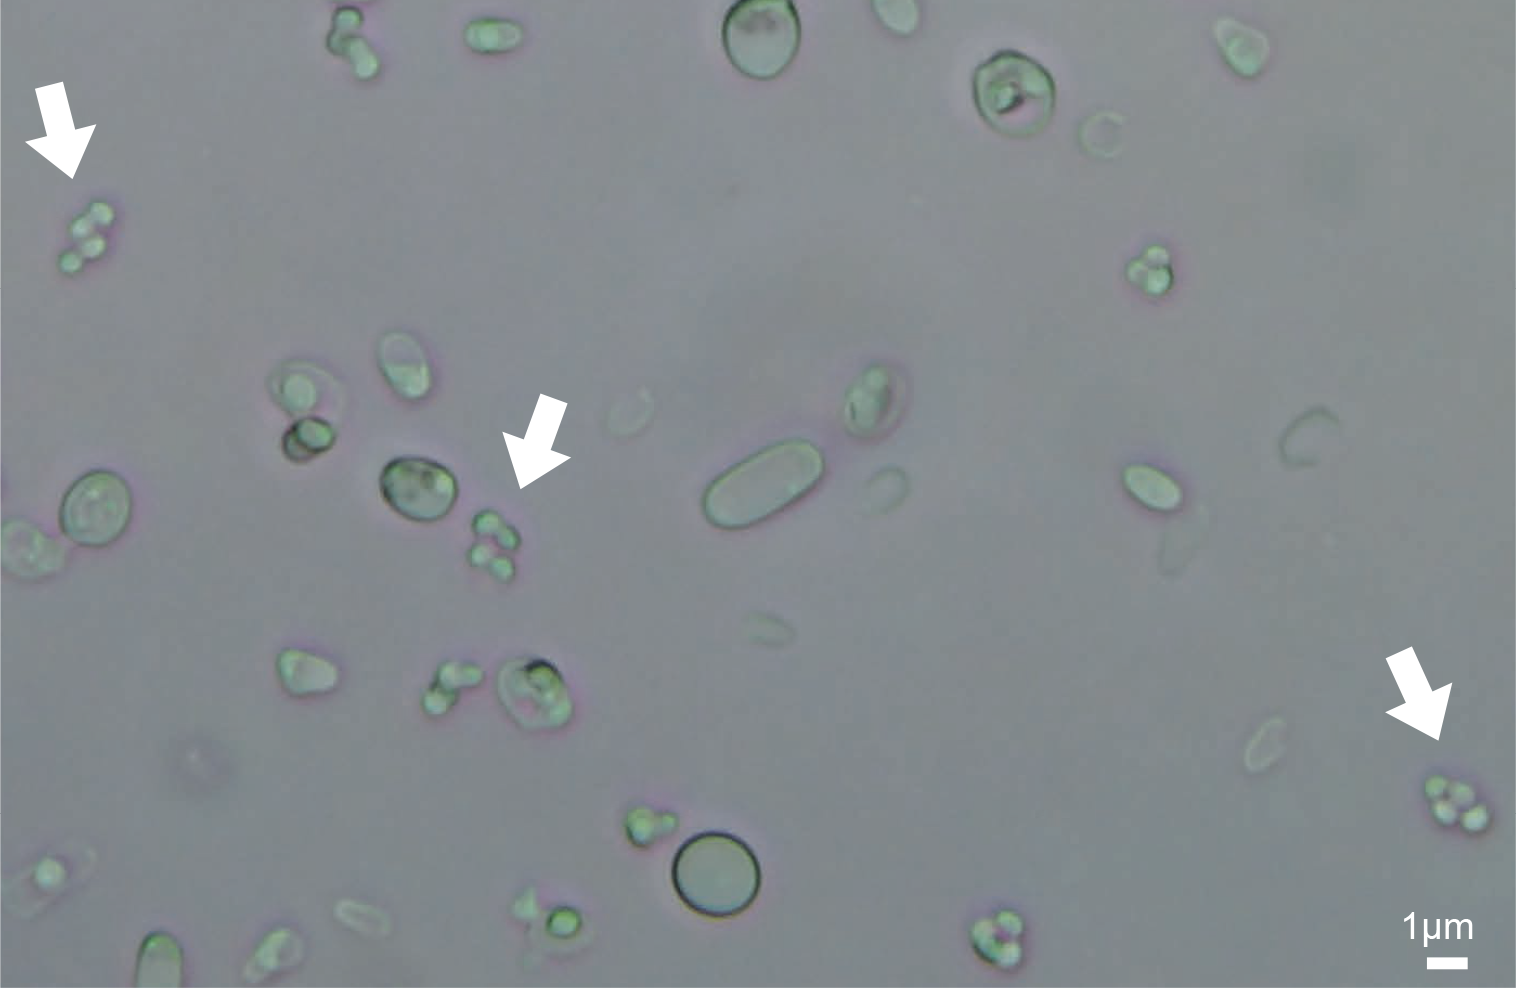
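Scattered over the pale background are oval to round vegetative cells of varying size, each with a smooth, thin, dark outline and a clear greenish-grey interior. Some of them show small refractile bodies inside, and a few are faint, empty-looking ghosts. In between lie compact clusters of four small, bright, round spores packed against one another; these are asci, in which the ascus wall has become thin or hard to see, so the four spores stand out as one tight group. The spores are far smaller than the ordinary cells around them, which helps to tell the asci apart from single budding cells.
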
